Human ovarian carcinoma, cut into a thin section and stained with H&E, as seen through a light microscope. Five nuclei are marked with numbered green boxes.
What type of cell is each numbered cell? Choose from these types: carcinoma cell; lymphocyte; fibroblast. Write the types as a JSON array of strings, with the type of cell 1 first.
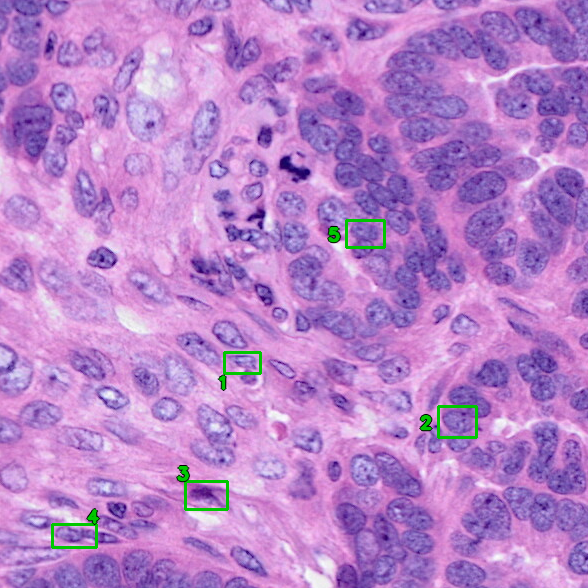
["fibroblast", "carcinoma cell", "fibroblast", "fibroblast", "carcinoma cell"]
